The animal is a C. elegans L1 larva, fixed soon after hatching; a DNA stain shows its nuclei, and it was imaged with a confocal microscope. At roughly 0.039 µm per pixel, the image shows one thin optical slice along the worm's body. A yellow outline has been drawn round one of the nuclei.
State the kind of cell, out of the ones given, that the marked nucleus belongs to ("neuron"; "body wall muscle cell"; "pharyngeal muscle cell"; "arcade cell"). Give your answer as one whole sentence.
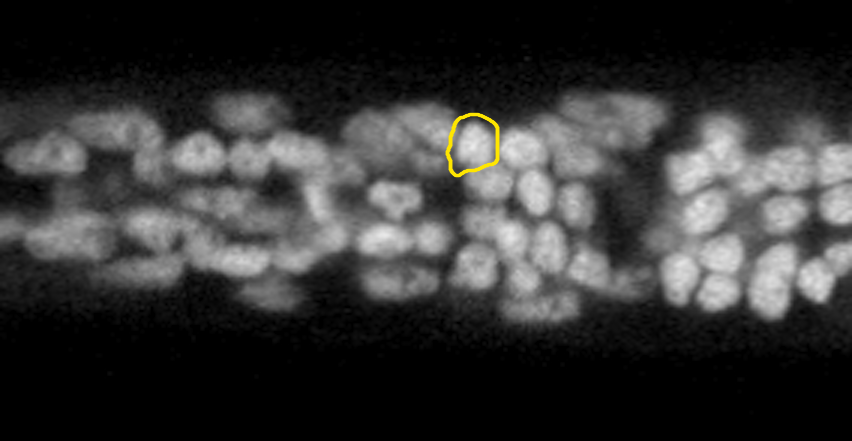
The cell with the marked nucleus is a neuron.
